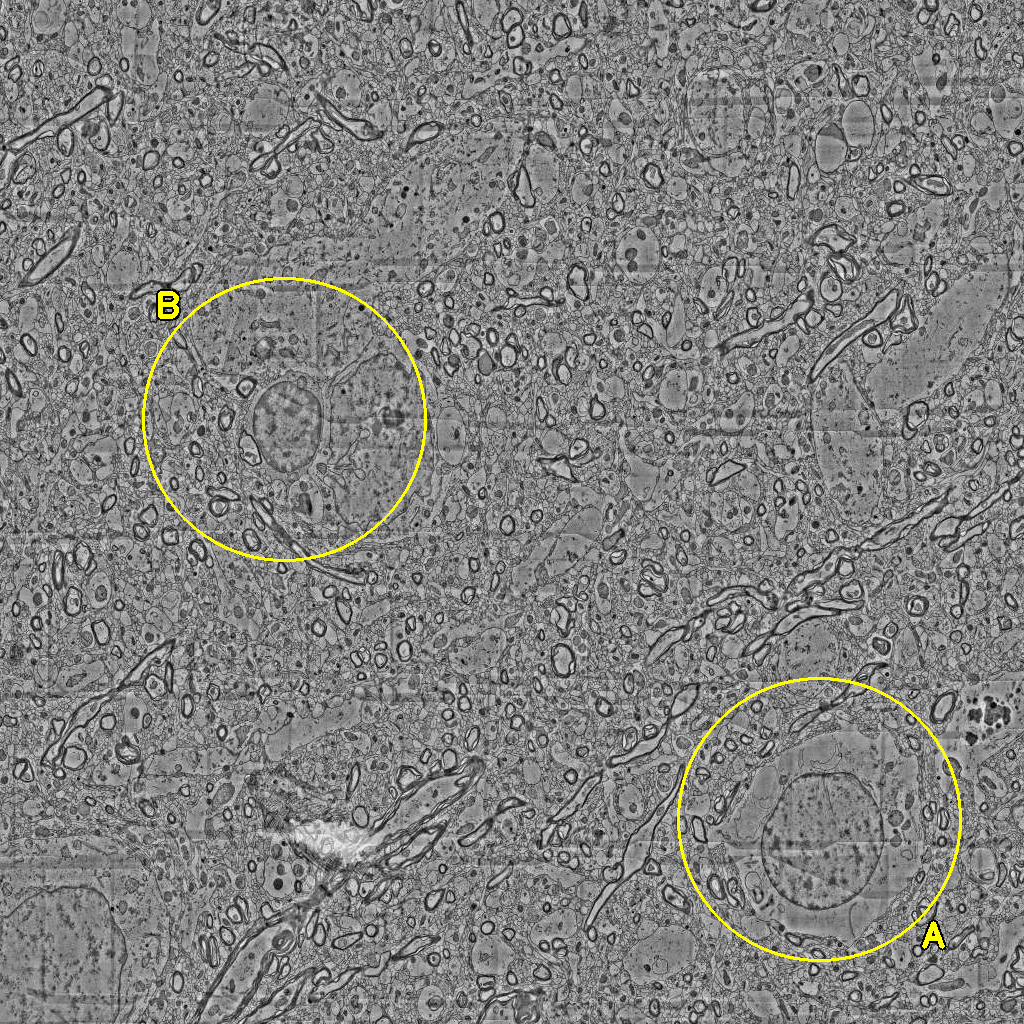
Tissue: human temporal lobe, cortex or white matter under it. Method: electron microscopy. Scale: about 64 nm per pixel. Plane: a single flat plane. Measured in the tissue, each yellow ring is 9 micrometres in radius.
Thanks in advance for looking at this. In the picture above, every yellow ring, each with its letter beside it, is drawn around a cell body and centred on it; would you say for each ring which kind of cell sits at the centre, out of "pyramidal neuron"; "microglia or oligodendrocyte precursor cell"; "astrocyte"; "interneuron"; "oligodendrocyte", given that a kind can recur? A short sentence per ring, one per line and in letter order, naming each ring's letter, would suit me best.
The cell body in ring A belongs to an astrocyte.
The cell body in ring B belongs to an oligodendrocyte.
